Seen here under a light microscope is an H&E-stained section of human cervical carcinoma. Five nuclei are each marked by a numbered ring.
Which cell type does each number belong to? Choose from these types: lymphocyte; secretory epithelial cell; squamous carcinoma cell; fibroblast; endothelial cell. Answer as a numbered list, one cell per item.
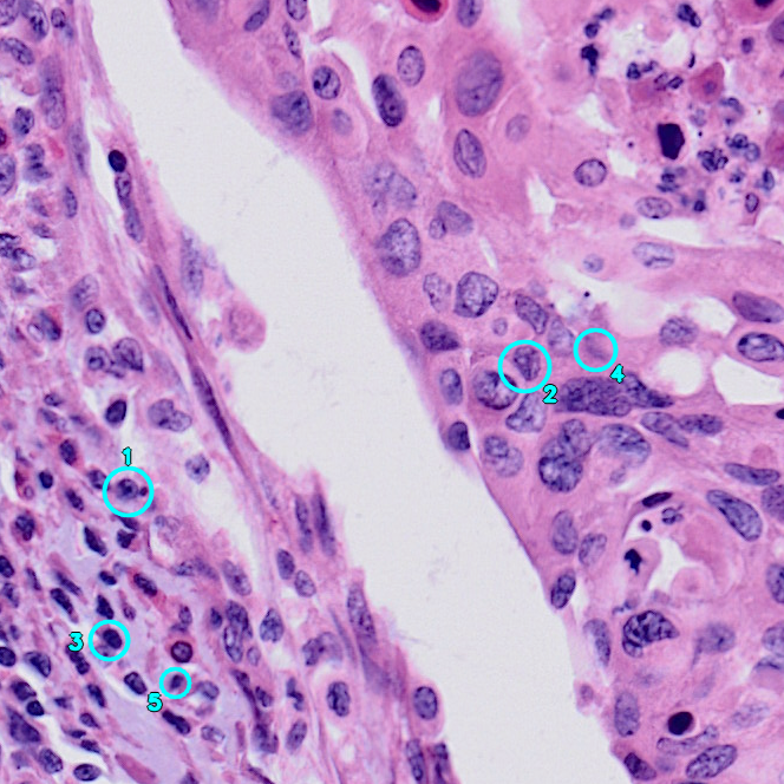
1. lymphocyte
2. squamous carcinoma cell
3. lymphocyte
4. squamous carcinoma cell
5. lymphocyte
